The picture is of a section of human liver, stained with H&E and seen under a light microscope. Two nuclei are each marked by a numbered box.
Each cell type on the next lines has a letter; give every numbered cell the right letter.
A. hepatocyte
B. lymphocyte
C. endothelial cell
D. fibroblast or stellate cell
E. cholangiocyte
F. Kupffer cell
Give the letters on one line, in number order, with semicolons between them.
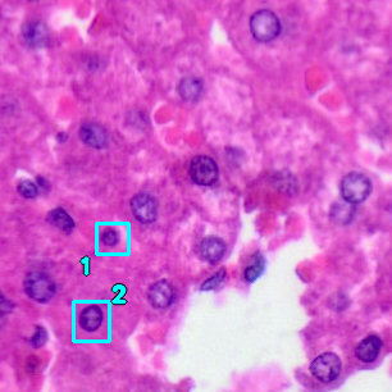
B; A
